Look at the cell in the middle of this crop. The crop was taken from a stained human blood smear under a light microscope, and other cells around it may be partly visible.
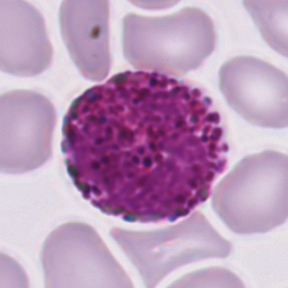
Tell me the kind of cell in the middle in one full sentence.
The centered cell in this crop is a basophil.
